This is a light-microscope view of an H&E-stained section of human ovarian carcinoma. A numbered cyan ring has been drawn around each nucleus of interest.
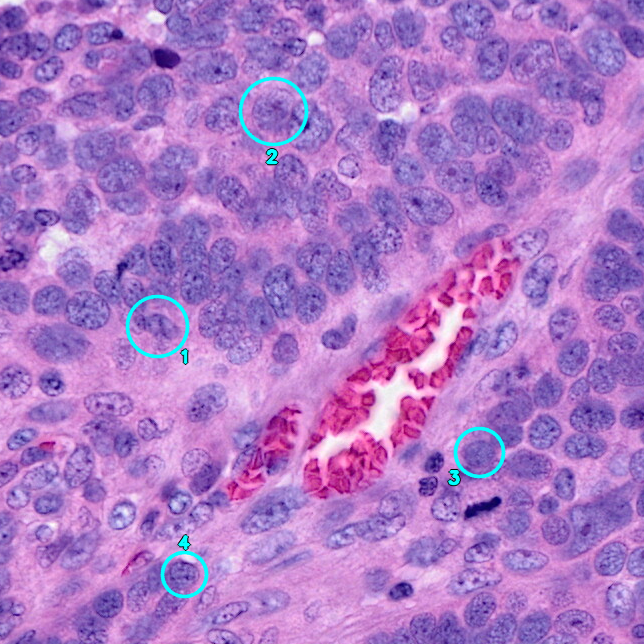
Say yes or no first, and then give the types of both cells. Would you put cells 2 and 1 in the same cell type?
No, cell 2 is a carcinoma cell and cell 1 is a macrophage or monocyte.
